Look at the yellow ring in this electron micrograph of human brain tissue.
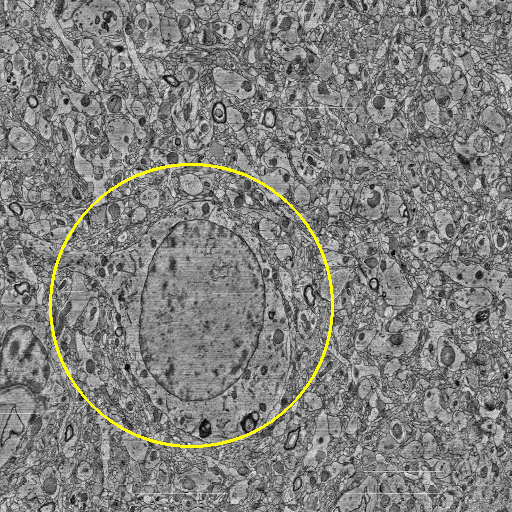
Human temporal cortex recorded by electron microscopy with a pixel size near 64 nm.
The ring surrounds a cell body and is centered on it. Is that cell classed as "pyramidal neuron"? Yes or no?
Yes, that is its cell type.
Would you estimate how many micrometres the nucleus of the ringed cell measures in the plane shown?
Roughly 12 by 8 micrometres is the size of the nucleus in this plane.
